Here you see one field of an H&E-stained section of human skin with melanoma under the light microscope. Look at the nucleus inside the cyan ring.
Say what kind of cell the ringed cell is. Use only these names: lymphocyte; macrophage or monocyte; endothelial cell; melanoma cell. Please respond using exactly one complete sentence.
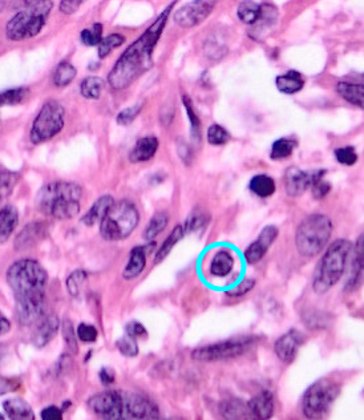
The cell type represented by the ringed cell is that of a lymphocyte.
